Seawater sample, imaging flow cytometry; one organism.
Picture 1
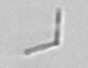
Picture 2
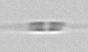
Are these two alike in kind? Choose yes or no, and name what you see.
No. First Nanoneis, second Cylindrotheca.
